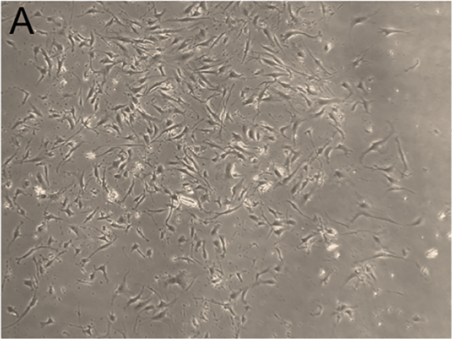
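Most are elongated, spindle-shaped or stellate cells with thin tapering processes, spread flat on the surface. They are densely and irregularly scattered, crowding in the centre and thinning out towards the right edge, with a few small bright rounded cells among them.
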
